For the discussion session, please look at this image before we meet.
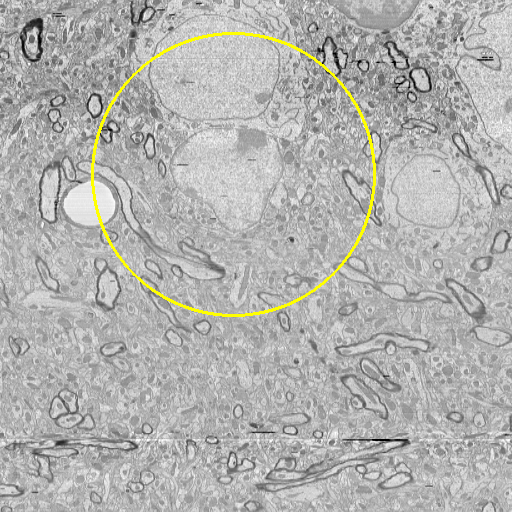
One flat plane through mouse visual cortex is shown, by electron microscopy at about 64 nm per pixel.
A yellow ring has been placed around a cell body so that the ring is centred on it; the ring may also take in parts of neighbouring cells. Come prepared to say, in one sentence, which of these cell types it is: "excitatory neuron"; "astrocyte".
The cell centred in the ring is an astrocyte.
